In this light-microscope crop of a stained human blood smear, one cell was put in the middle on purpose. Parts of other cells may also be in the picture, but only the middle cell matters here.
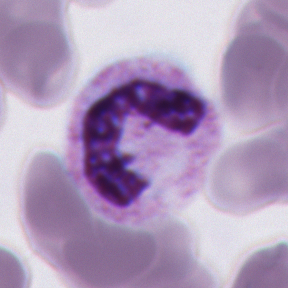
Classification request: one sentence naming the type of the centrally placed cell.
The cell at the middle of the frame should be recorded as a segmented neutrophil.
